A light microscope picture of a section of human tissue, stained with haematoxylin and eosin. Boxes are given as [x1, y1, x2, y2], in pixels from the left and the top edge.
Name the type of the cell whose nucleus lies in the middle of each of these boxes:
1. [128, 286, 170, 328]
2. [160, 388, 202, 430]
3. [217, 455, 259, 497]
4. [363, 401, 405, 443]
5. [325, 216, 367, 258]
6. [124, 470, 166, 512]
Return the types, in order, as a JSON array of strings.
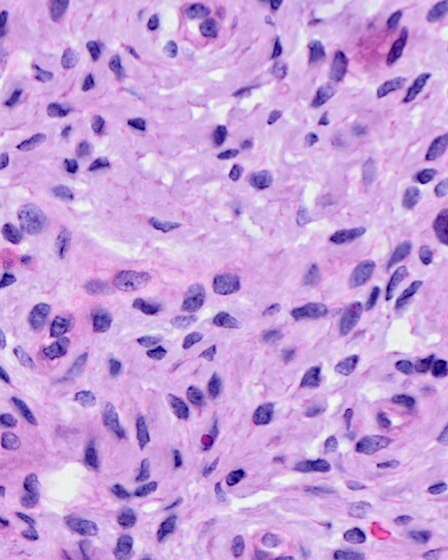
["fibroblast", "fibroblast", "lymphocyte", "endothelial cell", "fibroblast", "fibroblast"]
